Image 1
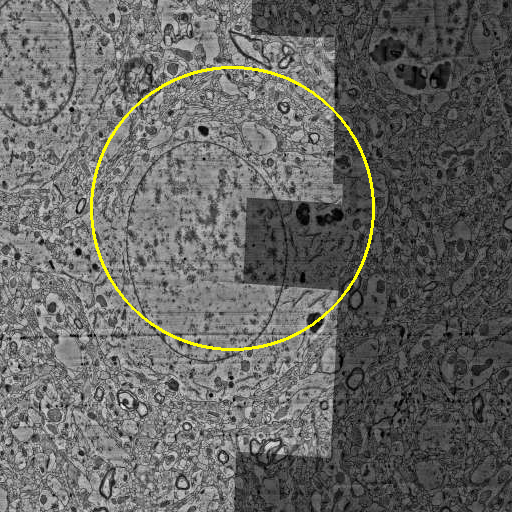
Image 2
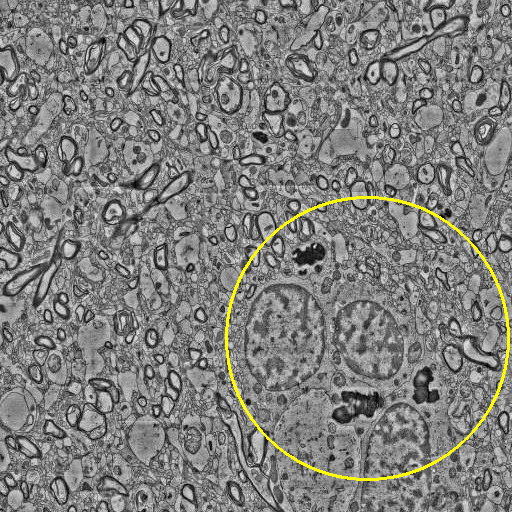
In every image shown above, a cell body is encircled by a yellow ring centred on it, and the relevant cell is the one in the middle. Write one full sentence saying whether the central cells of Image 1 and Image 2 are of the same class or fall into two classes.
The cell at the ring's centre in Image 1 and its counterpart in Image 2 fall into two classes.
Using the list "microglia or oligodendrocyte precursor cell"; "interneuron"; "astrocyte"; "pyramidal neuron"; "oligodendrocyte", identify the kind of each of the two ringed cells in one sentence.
The first is a pyramidal neuron and the second is an oligodendrocyte.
